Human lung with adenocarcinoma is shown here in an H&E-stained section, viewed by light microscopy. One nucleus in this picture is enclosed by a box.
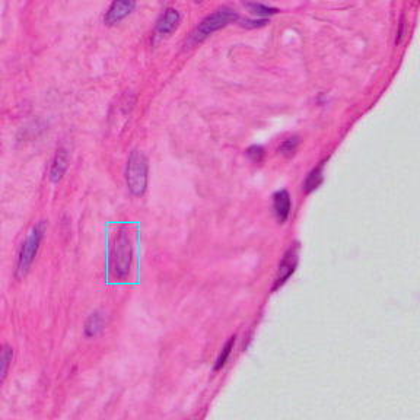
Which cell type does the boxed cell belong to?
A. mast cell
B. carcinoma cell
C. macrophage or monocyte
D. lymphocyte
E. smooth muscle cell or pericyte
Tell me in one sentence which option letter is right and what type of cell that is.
Option E, which has the boxed cell as a smooth muscle cell or pericyte, is the correct choice.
